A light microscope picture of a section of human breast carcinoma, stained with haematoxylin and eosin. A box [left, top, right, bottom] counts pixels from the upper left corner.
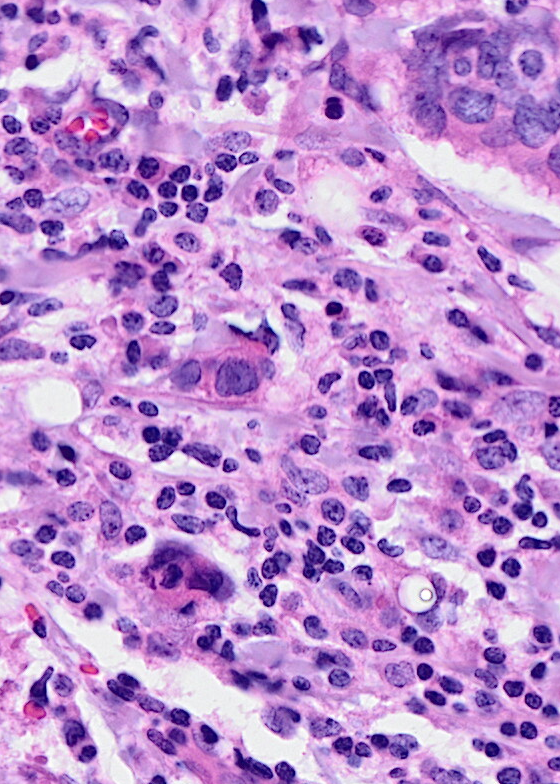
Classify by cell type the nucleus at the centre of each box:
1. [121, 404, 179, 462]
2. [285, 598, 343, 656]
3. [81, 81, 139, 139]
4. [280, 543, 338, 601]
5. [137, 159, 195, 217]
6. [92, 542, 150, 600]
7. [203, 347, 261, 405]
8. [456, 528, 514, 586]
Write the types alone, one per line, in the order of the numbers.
lymphocyte
lymphocyte
endothelial cell
lymphocyte
lymphocyte
macrophage, monocyte or dendritic cell
carcinoma cell
lymphocyte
